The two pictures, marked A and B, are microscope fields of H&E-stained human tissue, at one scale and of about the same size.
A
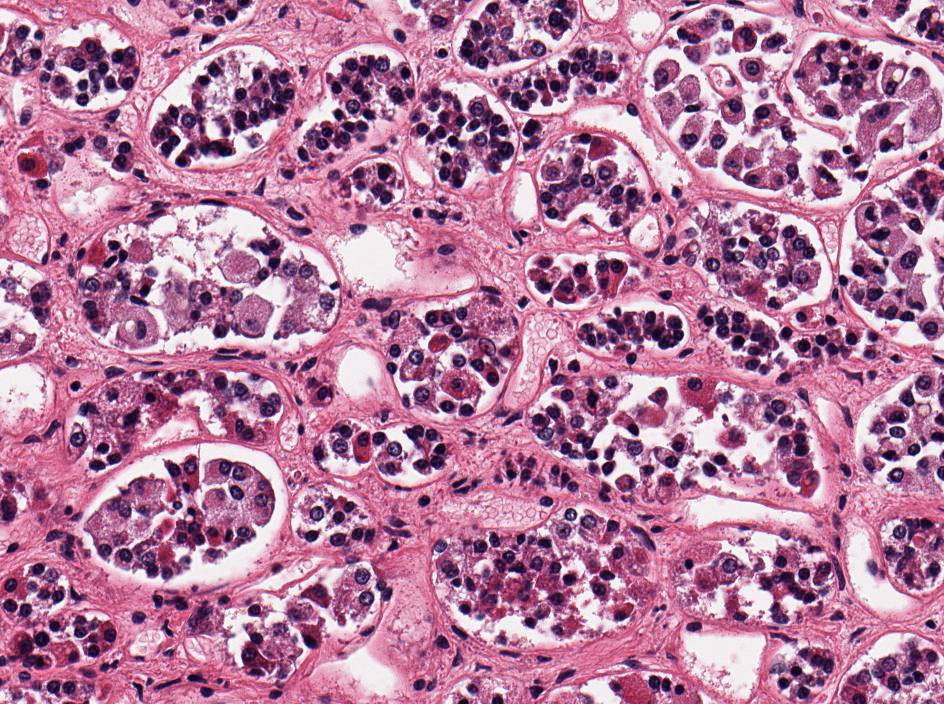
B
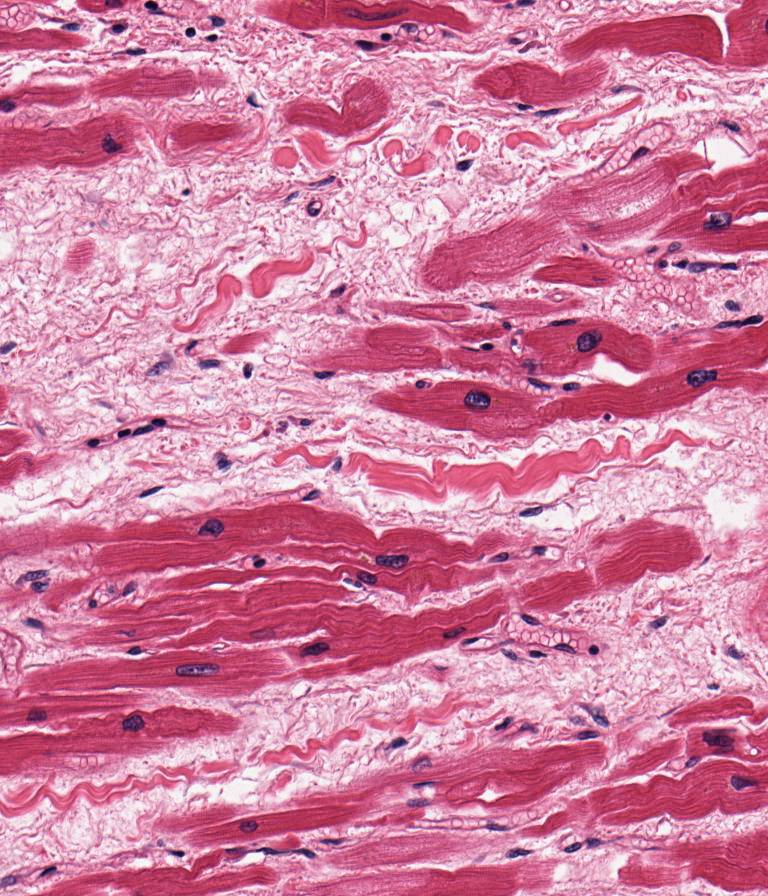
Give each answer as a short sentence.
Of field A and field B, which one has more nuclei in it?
There are more nuclei in field A.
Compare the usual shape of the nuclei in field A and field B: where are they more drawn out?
On the whole the nuclei of field B are more drawn out than those of field A.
